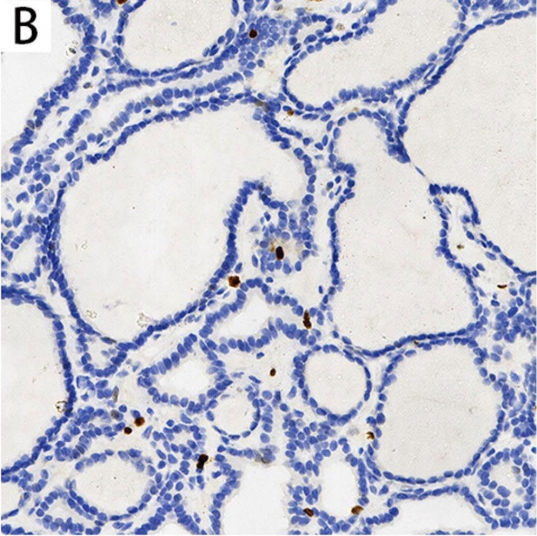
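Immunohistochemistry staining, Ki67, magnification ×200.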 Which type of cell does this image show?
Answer: Follicular epithelial cells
